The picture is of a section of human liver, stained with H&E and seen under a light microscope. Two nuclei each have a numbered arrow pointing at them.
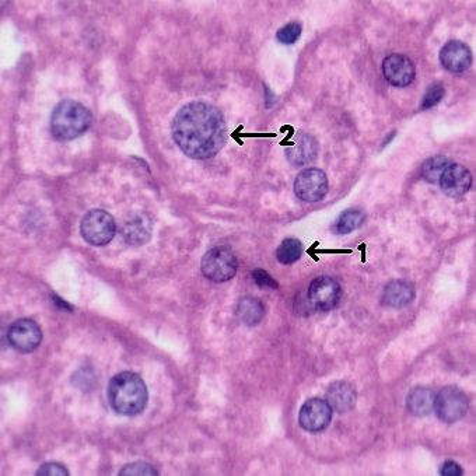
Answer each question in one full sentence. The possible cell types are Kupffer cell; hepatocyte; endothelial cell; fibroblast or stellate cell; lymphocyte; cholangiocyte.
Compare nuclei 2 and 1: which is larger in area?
Nucleus 2 is larger, with an area about 4 times that of nucleus 1.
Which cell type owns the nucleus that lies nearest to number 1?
The nucleus nearest to number 1 is that of a fibroblast or stellate cell.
